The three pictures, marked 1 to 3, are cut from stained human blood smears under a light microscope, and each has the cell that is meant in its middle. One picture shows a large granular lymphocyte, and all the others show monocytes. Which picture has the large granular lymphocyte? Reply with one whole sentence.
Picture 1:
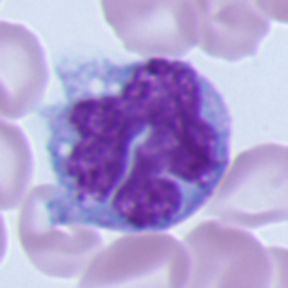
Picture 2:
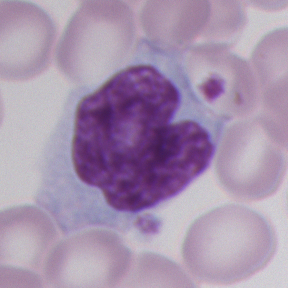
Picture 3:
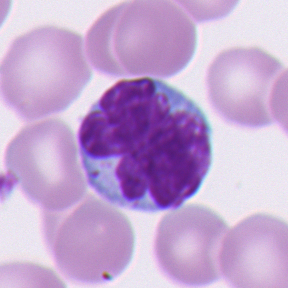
The cell in picture 3 is the large granular lymphocyte.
